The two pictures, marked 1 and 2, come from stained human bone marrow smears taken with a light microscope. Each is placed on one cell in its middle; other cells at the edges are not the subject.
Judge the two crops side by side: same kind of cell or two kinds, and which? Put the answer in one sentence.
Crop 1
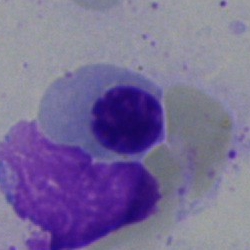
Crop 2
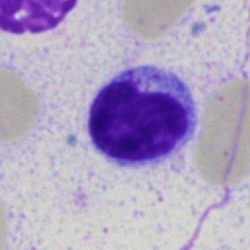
No, just to correct that: crop 1 shows a normoblast, crop 2 shows a lymphocyte.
